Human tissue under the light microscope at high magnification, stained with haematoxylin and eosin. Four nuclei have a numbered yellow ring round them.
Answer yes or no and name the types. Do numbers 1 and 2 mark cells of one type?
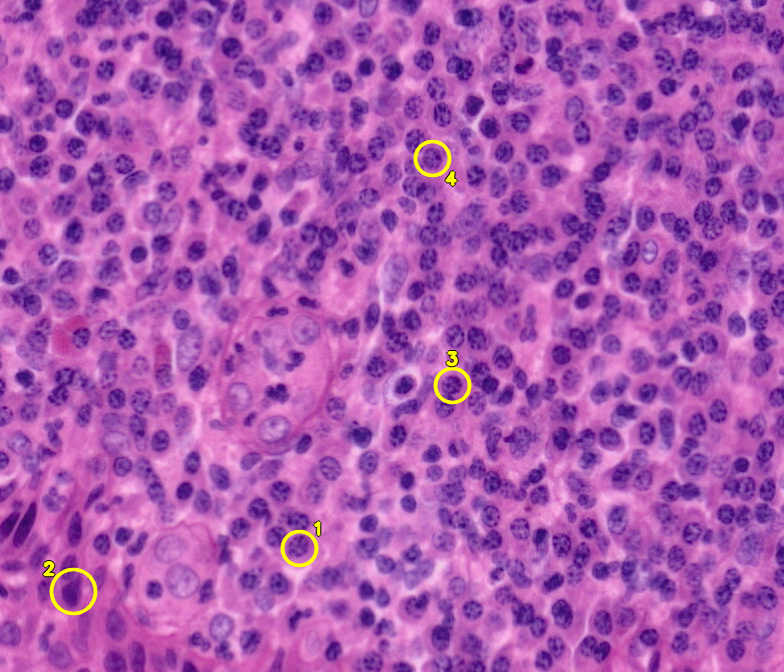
No, cell 1 is a plasma cell and cell 2 is a squamous epithelial cell.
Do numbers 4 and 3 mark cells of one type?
Yes, both are plasma cells.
